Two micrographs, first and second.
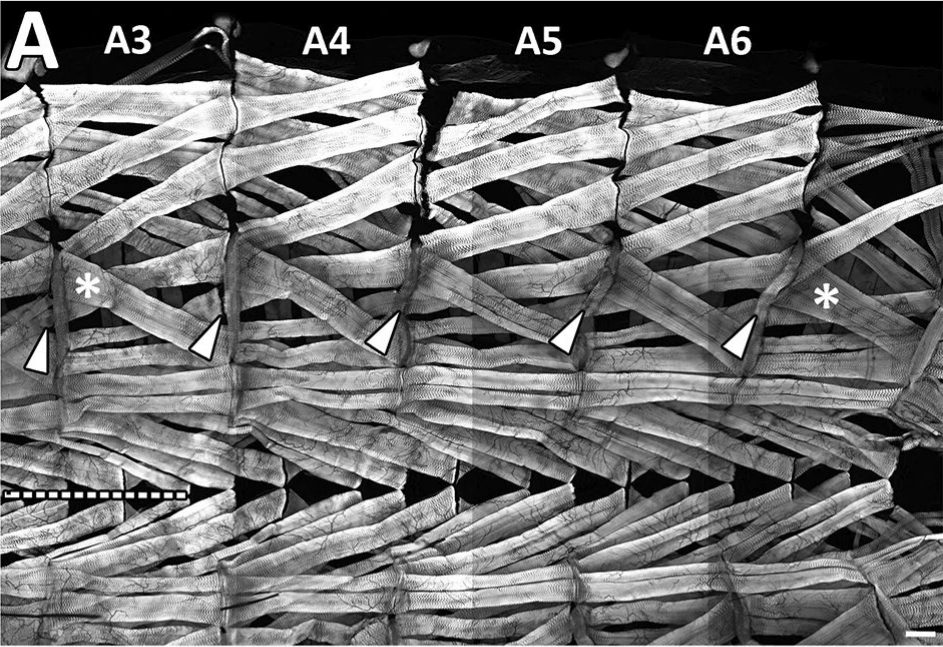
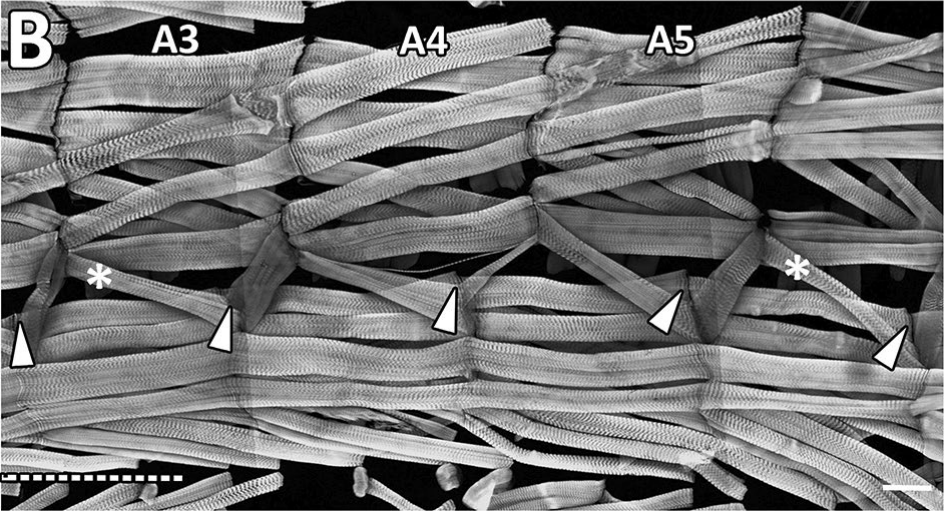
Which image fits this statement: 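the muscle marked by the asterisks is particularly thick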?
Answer: The first image.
